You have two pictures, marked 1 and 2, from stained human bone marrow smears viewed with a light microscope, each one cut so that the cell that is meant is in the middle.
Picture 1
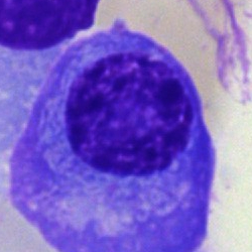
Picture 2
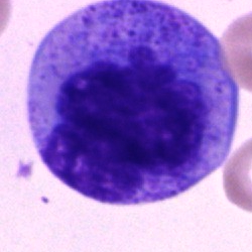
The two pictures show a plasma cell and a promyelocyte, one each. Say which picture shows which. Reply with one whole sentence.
It is picture 1 that shows a plasma cell, and picture 2 that shows a promyelocyte.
